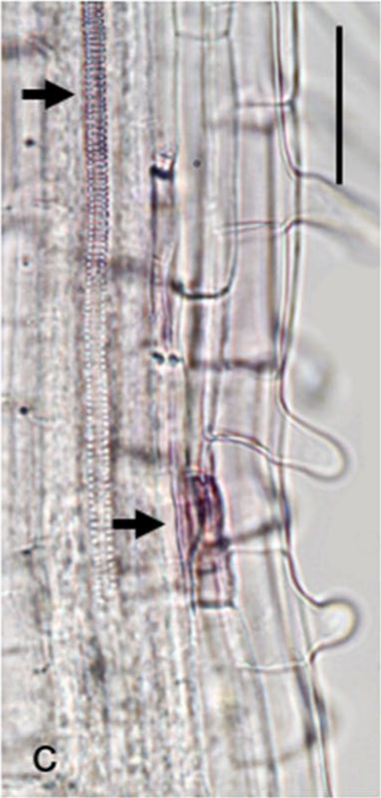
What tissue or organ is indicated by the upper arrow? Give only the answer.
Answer: xylem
